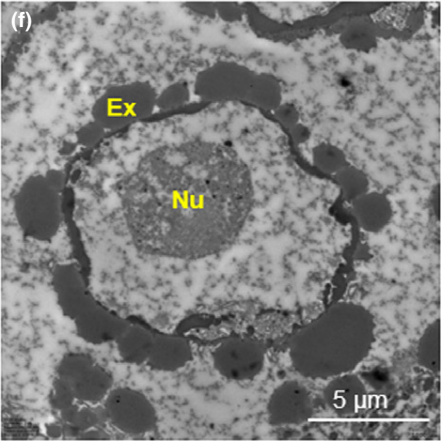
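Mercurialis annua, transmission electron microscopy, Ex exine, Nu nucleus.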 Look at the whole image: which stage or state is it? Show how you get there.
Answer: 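Abnormal‐looking. The outer wall is broken into separate dark blobs. The cytoplasm is pale and sparse with no starch inclusions. Only a nucleus stands out inside.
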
